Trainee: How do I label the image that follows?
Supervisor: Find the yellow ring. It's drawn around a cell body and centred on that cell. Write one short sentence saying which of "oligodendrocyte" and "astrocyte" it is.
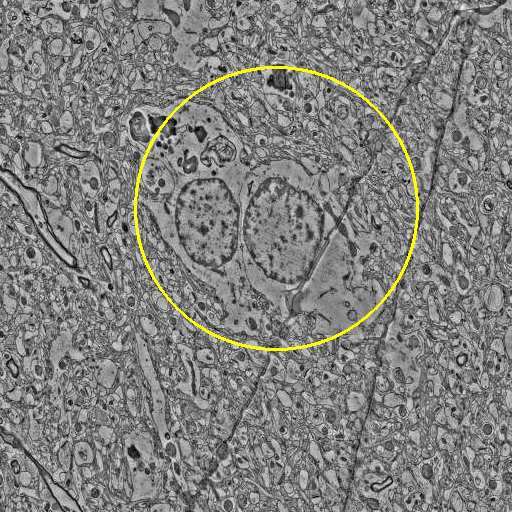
This is the cell body of an astrocyte.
